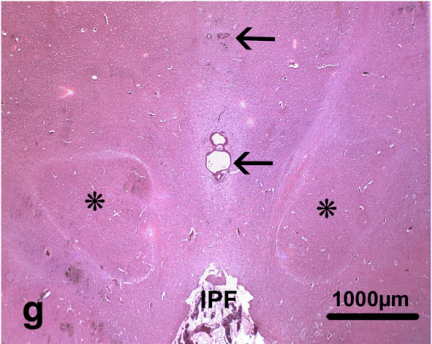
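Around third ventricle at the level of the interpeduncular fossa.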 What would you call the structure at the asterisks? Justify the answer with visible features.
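Two paired rounded grey-matter areas on either side of the midline. They lie above the midline cleft at the bottom. On this evidence: red nuclei.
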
